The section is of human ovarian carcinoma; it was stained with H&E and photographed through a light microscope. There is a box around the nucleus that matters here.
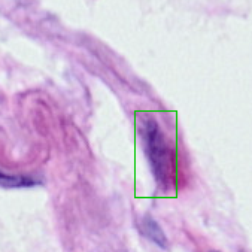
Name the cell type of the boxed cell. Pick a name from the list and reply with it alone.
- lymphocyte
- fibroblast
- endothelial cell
endothelial cell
